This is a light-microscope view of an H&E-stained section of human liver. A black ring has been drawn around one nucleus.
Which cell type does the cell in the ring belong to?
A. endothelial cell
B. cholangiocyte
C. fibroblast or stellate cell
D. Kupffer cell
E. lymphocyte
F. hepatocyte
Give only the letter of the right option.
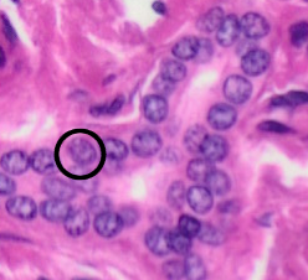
B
